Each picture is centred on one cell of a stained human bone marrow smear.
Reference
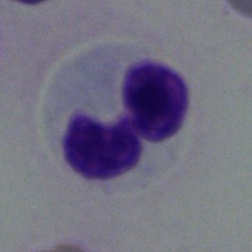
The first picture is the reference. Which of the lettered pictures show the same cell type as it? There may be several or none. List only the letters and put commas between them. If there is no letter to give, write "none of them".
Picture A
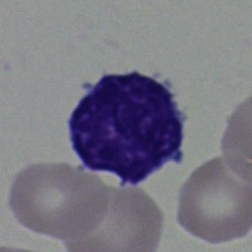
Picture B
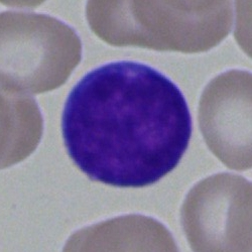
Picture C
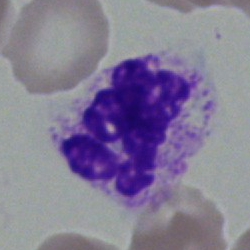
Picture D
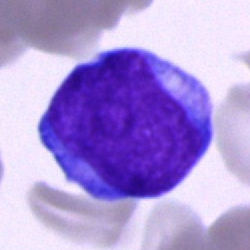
C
